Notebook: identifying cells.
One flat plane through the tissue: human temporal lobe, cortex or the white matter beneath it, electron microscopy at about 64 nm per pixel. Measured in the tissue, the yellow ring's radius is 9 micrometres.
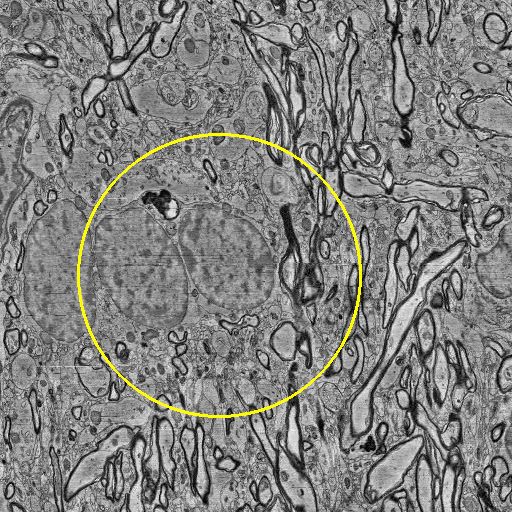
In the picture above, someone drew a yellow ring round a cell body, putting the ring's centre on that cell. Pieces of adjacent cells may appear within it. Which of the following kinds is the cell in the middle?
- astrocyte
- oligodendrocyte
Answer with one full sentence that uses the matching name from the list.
In this picture, the yellow ring is centred on the body of an oligodendrocyte.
